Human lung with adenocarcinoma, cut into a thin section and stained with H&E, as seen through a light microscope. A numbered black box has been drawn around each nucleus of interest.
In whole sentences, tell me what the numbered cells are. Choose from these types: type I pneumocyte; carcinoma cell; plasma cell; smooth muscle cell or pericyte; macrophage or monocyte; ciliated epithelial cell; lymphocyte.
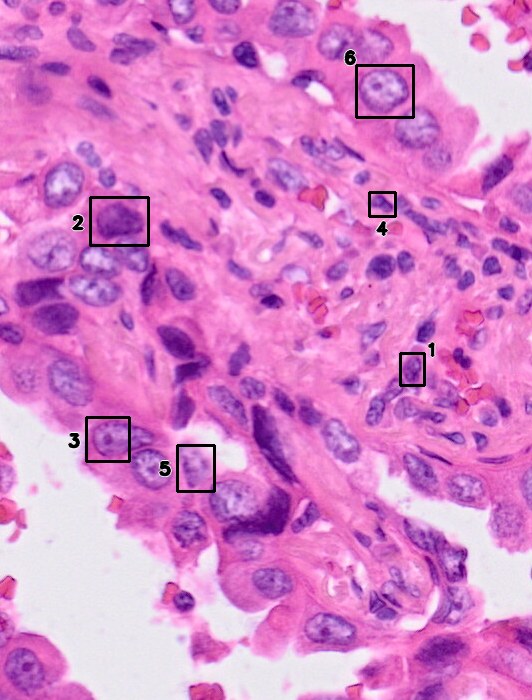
Cell 1 is a plasma cell. Cells 2, 3, 5 and 6 are carcinoma cells. Cell 4 is a lymphocyte.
